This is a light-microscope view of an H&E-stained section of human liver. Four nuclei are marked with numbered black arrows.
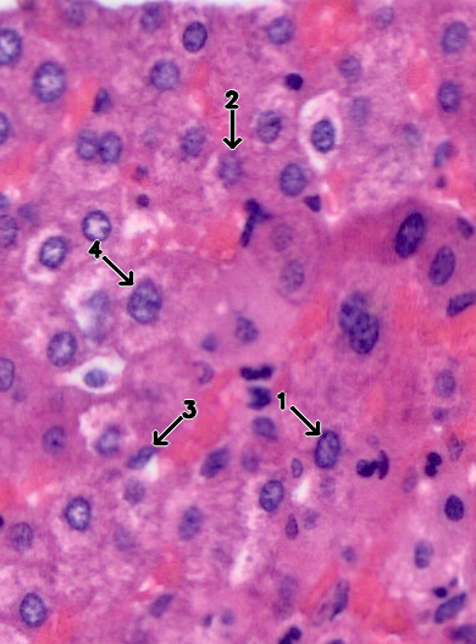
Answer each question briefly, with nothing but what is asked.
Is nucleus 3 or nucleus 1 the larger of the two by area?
1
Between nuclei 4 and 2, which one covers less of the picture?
2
